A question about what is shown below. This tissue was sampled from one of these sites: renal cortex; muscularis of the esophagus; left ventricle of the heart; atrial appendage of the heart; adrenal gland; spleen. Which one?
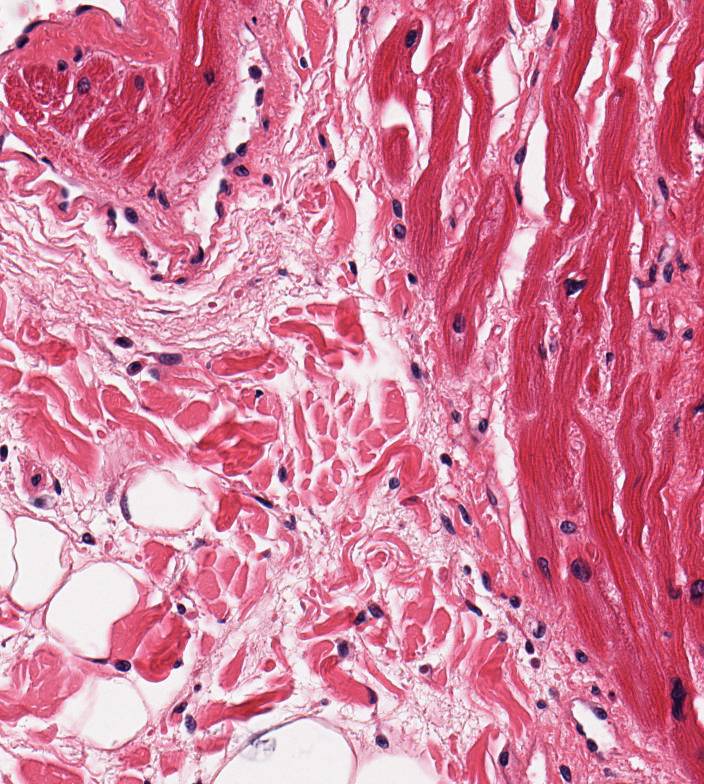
atrial appendage of the heart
